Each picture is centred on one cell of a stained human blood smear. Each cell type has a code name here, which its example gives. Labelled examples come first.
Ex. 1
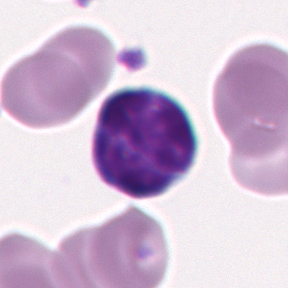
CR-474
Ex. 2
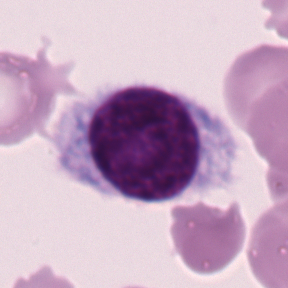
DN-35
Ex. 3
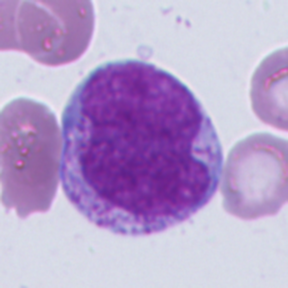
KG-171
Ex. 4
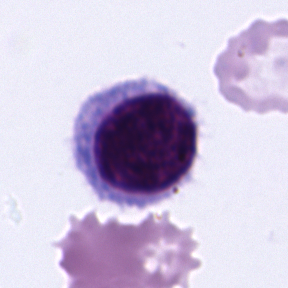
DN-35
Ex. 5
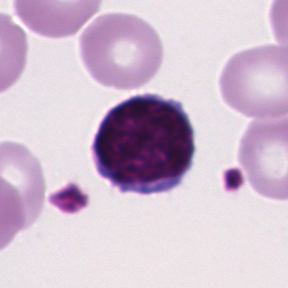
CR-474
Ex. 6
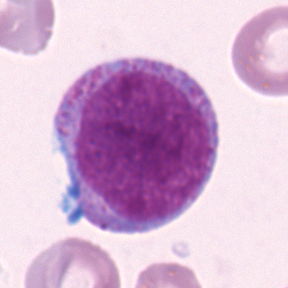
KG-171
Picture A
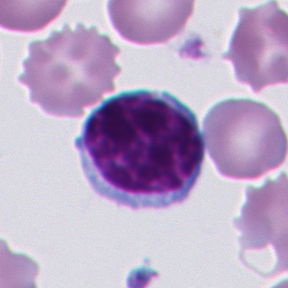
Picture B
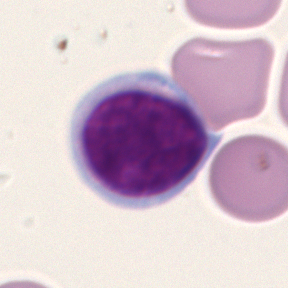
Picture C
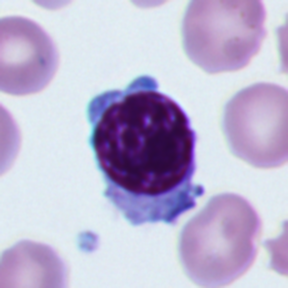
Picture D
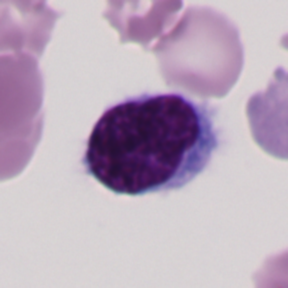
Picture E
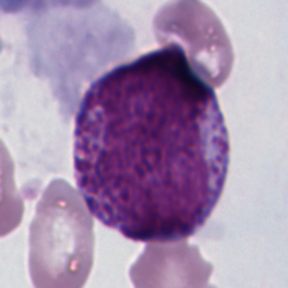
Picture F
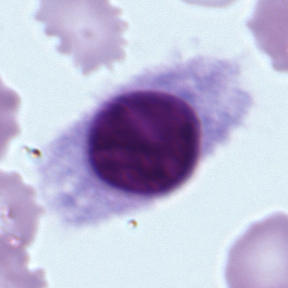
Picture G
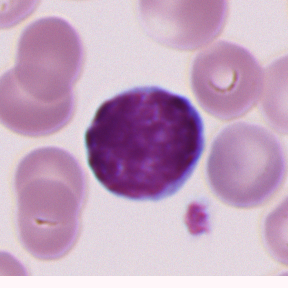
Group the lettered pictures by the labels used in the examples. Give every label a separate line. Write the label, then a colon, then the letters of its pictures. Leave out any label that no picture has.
CR-474: A, B, C, G
DN-35: D, F
KG-171: E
